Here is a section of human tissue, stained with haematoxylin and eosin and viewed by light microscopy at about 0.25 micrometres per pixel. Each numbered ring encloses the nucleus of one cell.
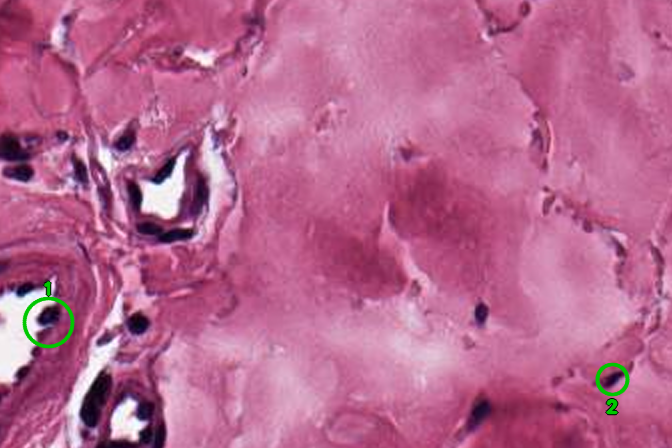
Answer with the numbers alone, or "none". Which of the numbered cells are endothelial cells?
1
